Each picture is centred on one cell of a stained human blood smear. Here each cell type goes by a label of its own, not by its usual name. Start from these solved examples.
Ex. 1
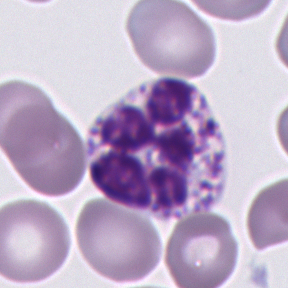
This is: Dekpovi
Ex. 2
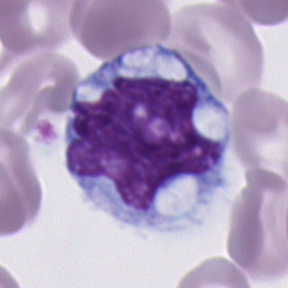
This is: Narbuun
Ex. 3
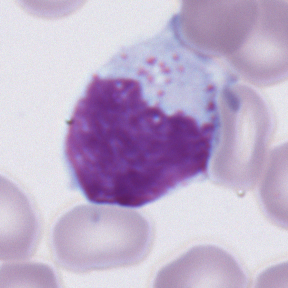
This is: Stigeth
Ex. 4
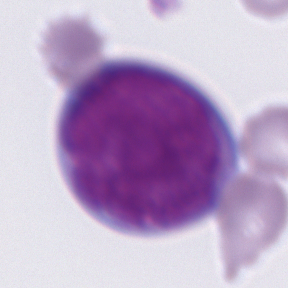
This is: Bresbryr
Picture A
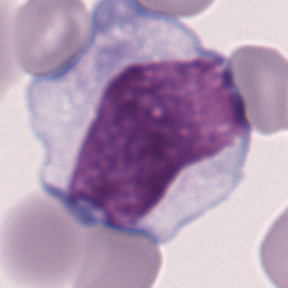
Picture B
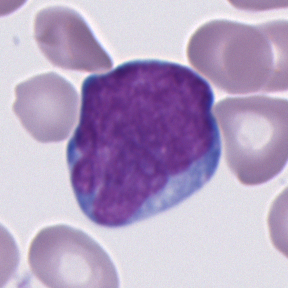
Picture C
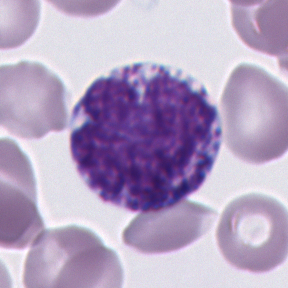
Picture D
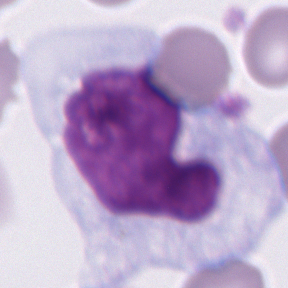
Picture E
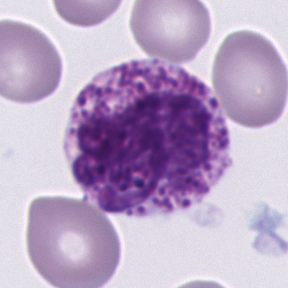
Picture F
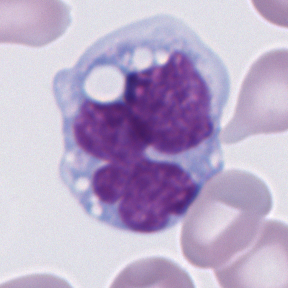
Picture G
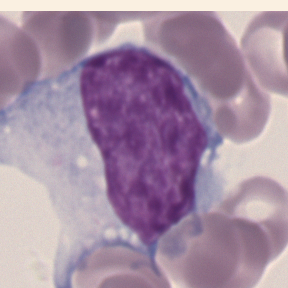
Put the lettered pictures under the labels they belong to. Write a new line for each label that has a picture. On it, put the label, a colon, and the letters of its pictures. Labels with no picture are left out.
Dekpovi: C, E
Narbuun: A, D, F
Bresbryr: B, G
